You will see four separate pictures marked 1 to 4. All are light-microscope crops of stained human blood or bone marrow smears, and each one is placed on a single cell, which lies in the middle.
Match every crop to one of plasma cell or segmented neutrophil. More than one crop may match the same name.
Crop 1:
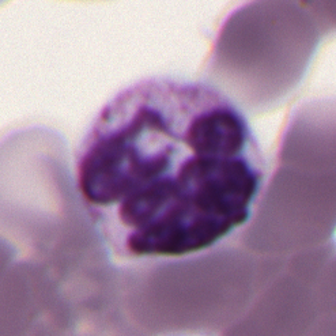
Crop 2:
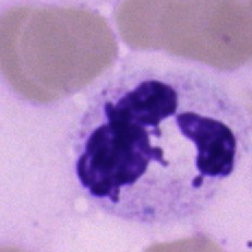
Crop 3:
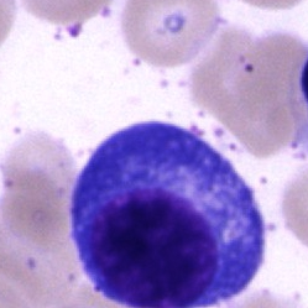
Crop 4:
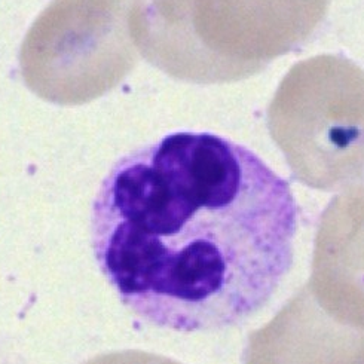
1: segmented neutrophil
2: segmented neutrophil
3: plasma cell
4: segmented neutrophil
